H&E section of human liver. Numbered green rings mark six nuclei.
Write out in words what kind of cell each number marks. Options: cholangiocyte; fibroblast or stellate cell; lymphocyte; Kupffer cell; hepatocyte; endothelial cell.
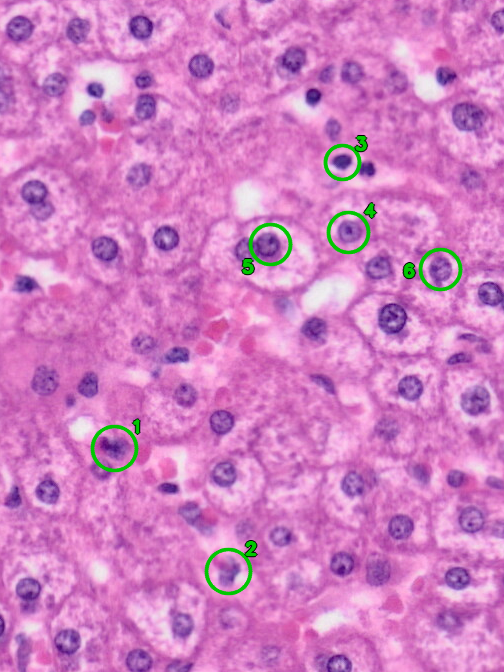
Cell 1 is an endothelial cell, cell 2 is an endothelial cell, cell 3 is a lymphocyte, cell 4 is a hepatocyte, cell 5 is a hepatocyte and cell 6 is a hepatocyte.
